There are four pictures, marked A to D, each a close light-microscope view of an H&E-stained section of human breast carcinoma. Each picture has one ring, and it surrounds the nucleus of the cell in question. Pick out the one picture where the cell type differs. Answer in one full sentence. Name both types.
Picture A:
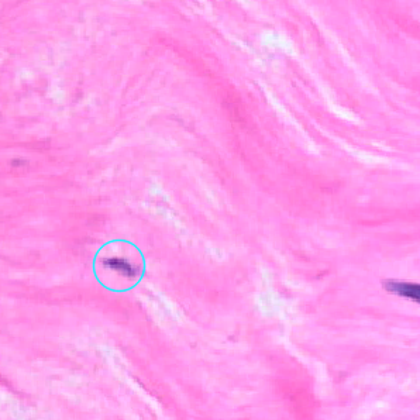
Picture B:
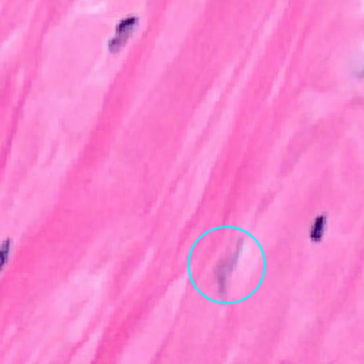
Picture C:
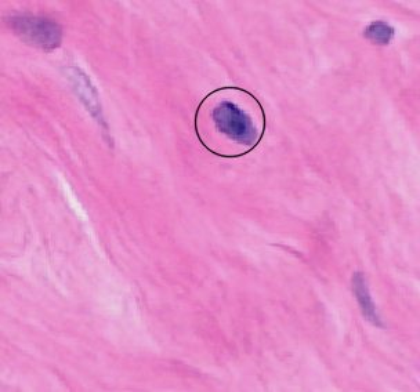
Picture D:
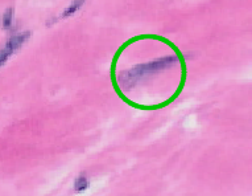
Picture C is the odd one out: it shows a lymphocyte, while the others show fibroblasts.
